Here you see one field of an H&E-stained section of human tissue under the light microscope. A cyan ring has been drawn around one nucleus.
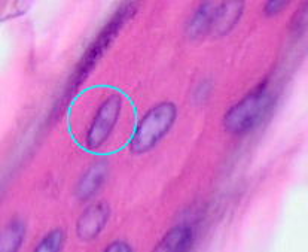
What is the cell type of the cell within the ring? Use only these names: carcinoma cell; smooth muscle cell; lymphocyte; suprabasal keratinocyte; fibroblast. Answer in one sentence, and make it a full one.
Among the cells in this section, the cell within the ring is a suprabasal keratinocyte.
